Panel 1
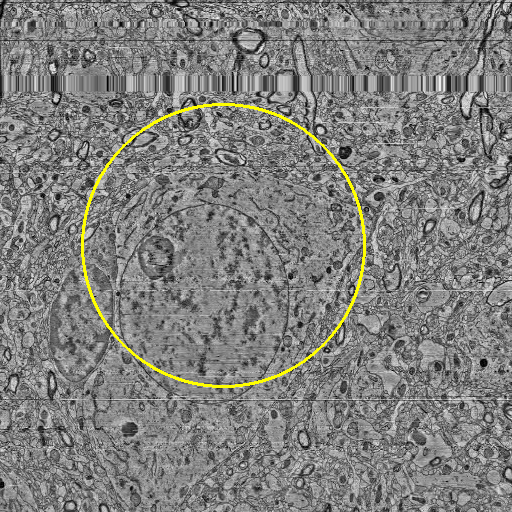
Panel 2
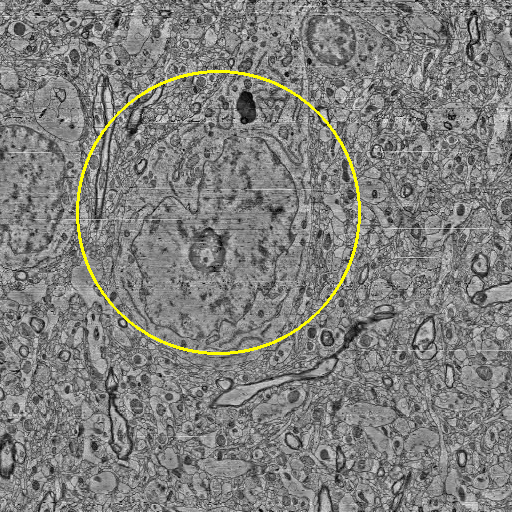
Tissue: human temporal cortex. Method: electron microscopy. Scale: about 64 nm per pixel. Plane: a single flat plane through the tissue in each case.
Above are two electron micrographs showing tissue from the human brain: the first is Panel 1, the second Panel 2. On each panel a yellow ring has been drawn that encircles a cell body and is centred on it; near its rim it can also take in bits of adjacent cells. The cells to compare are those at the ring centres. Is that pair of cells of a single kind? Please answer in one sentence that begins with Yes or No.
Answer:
No, the ring-centred cells of Panel 1 and Panel 2 belong to two kinds.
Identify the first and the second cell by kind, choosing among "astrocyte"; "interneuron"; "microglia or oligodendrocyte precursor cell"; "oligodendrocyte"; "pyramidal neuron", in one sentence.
The one in the first picture is a pyramidal neuron, while the one in the second is an interneuron.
